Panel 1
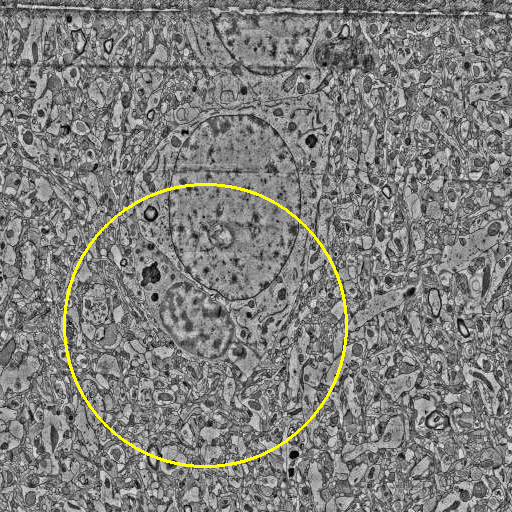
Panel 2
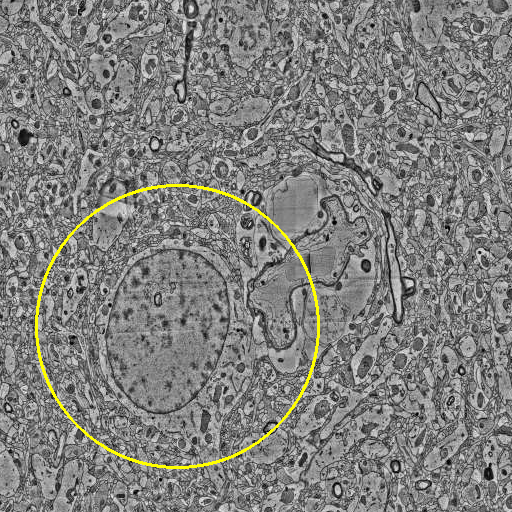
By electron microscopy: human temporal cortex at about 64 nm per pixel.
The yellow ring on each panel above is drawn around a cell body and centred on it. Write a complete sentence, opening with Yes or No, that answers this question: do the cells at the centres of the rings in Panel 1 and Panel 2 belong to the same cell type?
No, the two cells belong to two cell types.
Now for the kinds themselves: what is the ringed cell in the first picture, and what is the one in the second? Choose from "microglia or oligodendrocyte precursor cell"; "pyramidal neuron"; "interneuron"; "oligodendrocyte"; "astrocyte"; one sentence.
Here the first cell is an oligodendrocyte and the second cell is a pyramidal neuron.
